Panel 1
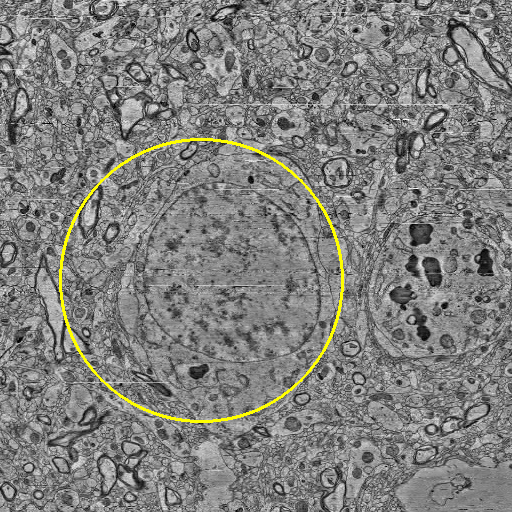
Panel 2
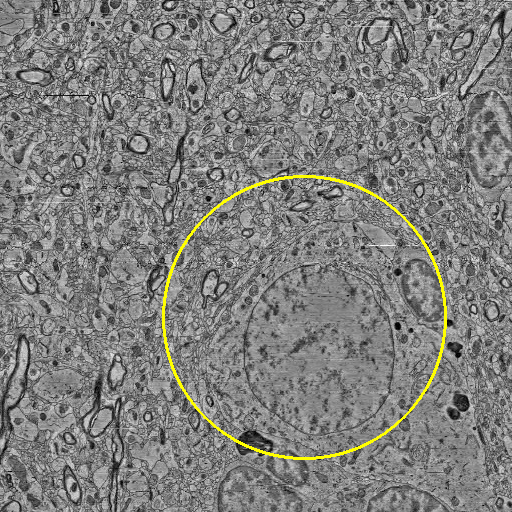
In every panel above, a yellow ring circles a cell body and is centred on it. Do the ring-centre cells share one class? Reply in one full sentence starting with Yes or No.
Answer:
No, the two cells at the ring centres in the panels belong to two classes.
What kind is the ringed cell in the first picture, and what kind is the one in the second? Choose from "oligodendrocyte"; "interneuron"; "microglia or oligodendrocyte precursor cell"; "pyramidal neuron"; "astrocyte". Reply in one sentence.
The first cell is an interneuron; the second is a pyramidal neuron.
